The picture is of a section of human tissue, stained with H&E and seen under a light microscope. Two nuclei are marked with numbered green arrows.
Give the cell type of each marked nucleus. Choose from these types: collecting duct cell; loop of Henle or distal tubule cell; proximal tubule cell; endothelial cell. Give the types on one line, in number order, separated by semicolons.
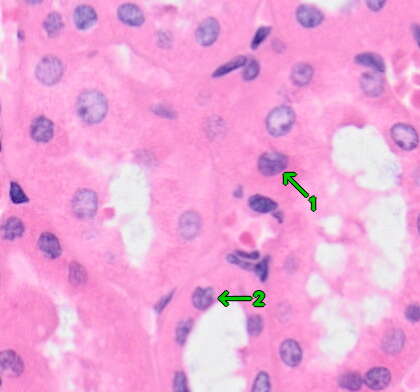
proximal tubule cell; loop of Henle or distal tubule cell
